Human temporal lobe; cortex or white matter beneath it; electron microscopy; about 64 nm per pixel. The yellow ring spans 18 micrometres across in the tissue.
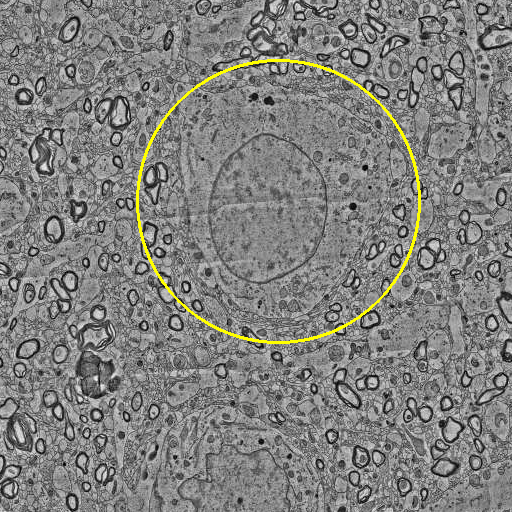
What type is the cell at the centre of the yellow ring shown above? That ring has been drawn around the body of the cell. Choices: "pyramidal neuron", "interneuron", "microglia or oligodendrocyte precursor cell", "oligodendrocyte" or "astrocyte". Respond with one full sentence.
My answer is that a pyramidal neuron lies at the centre of the yellow ring above.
